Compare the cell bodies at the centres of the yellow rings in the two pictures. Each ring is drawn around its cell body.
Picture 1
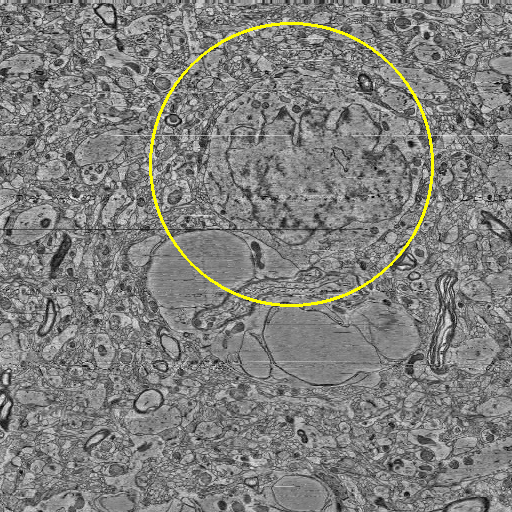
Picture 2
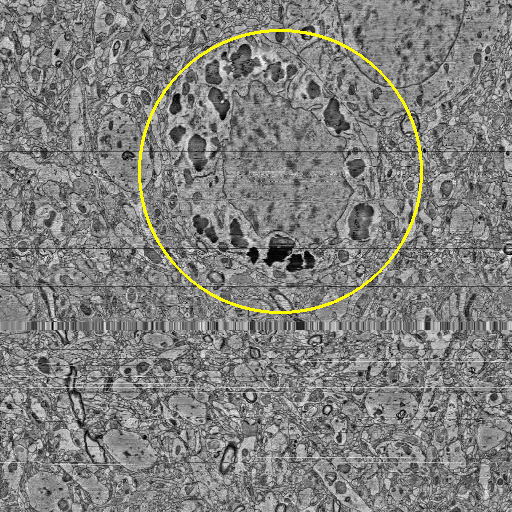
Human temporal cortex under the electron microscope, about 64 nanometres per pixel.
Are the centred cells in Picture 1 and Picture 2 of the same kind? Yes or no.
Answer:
yes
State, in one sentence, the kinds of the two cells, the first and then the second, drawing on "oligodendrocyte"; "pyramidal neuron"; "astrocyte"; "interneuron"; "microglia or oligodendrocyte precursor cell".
Each cell at the centre of a ring is an interneuron.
